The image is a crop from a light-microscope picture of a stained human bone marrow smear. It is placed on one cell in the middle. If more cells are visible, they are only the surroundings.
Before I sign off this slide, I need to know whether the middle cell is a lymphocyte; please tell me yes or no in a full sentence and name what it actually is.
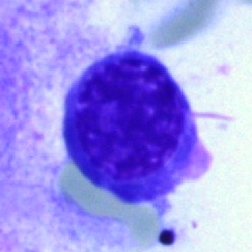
No, a lymphocyte is not what the central cell is; it is a normoblast.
